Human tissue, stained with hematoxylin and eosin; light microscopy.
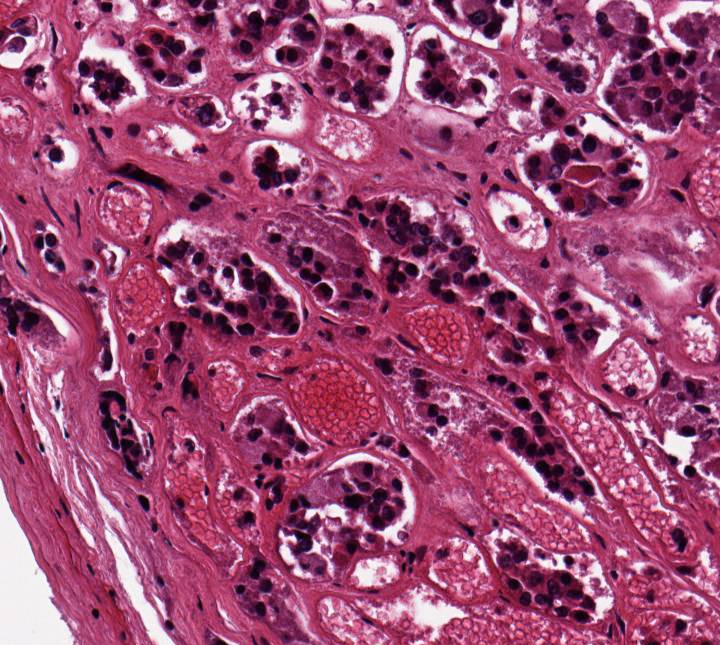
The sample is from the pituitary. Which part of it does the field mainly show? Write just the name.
pars distalis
